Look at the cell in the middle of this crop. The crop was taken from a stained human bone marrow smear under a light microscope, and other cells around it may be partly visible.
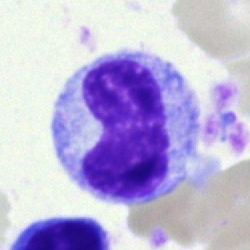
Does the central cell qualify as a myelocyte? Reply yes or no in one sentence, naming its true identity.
No, the central cell does not count as a myelocyte; it is a metamyelocyte.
